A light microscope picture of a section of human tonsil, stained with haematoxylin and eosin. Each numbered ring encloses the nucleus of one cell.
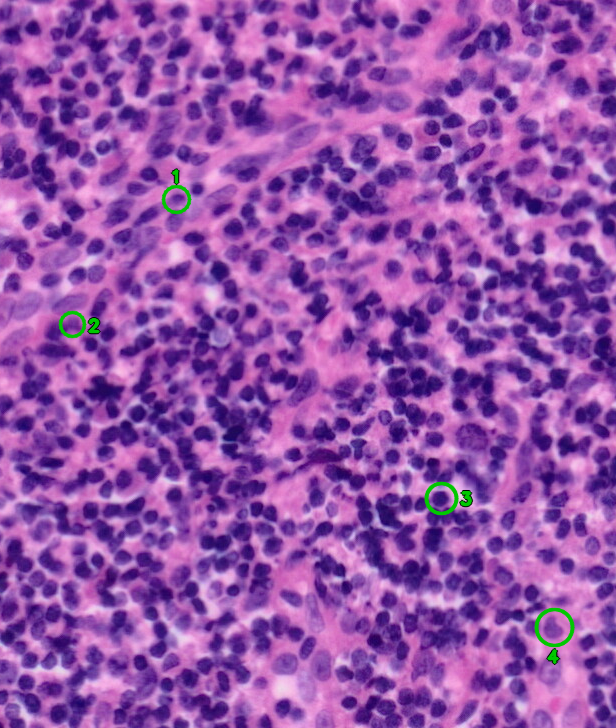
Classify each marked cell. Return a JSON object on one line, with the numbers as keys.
{"1": "endothelial cell", "2": "endothelial cell", "3": "small lymphocyte", "4": "endothelial cell"}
